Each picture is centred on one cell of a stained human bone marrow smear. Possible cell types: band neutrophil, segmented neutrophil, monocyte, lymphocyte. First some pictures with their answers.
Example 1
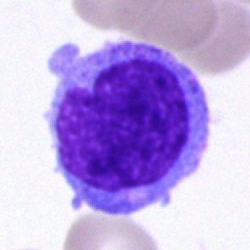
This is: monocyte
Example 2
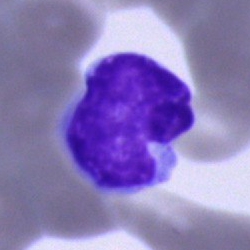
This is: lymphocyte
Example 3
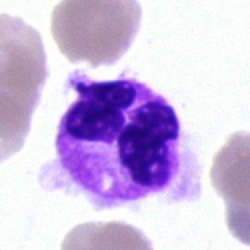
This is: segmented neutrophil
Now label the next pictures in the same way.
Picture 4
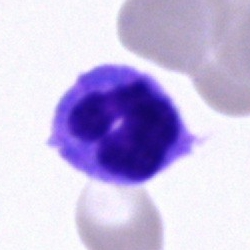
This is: monocyte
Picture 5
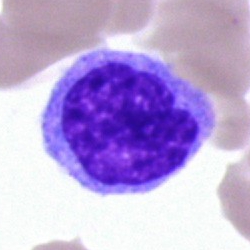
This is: monocyte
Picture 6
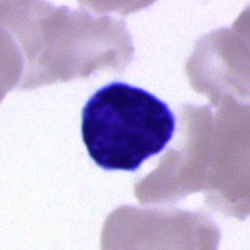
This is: lymphocyte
